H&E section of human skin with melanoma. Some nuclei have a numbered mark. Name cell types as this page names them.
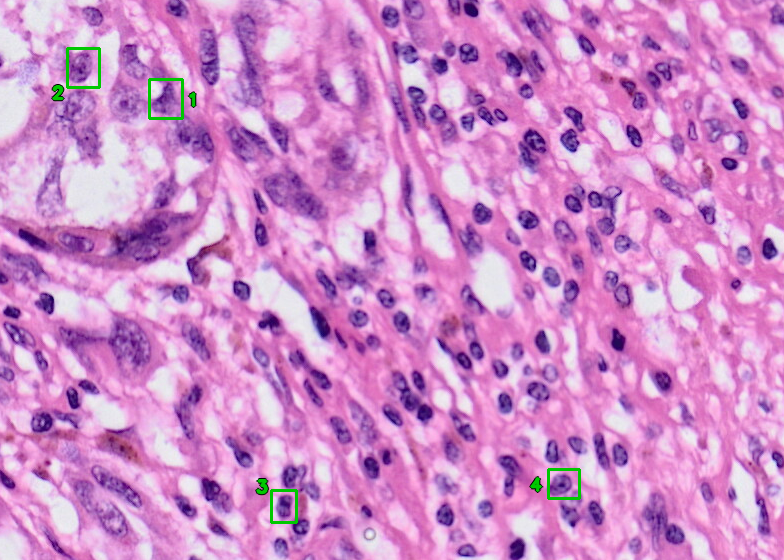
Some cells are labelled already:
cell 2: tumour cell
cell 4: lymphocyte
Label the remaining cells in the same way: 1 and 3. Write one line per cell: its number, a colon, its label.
1: tumour cell
3: lymphocyte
